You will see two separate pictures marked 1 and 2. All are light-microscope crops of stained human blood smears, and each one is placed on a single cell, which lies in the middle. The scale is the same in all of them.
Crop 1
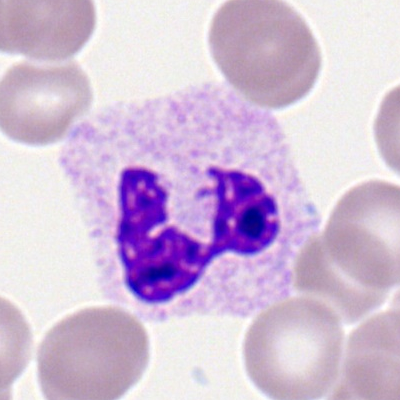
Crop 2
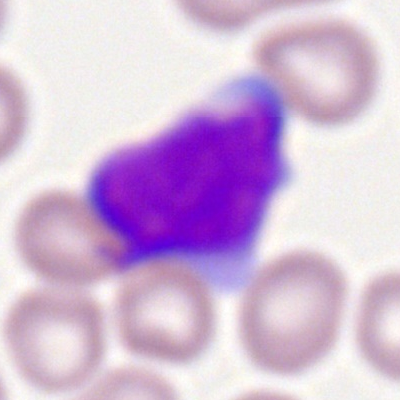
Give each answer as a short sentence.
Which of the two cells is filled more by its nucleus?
Of the two, the nucleus in crop 2 makes up the greater part of its cell.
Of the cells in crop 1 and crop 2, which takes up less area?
The cell in crop 2 is smaller; the one in crop 1 has about 1.5 times its area.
